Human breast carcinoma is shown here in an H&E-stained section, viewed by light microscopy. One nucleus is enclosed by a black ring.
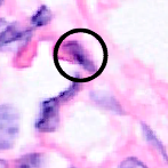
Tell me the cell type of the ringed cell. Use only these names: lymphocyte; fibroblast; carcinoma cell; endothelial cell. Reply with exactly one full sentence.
Just put down that the ringed cell is an endothelial cell.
